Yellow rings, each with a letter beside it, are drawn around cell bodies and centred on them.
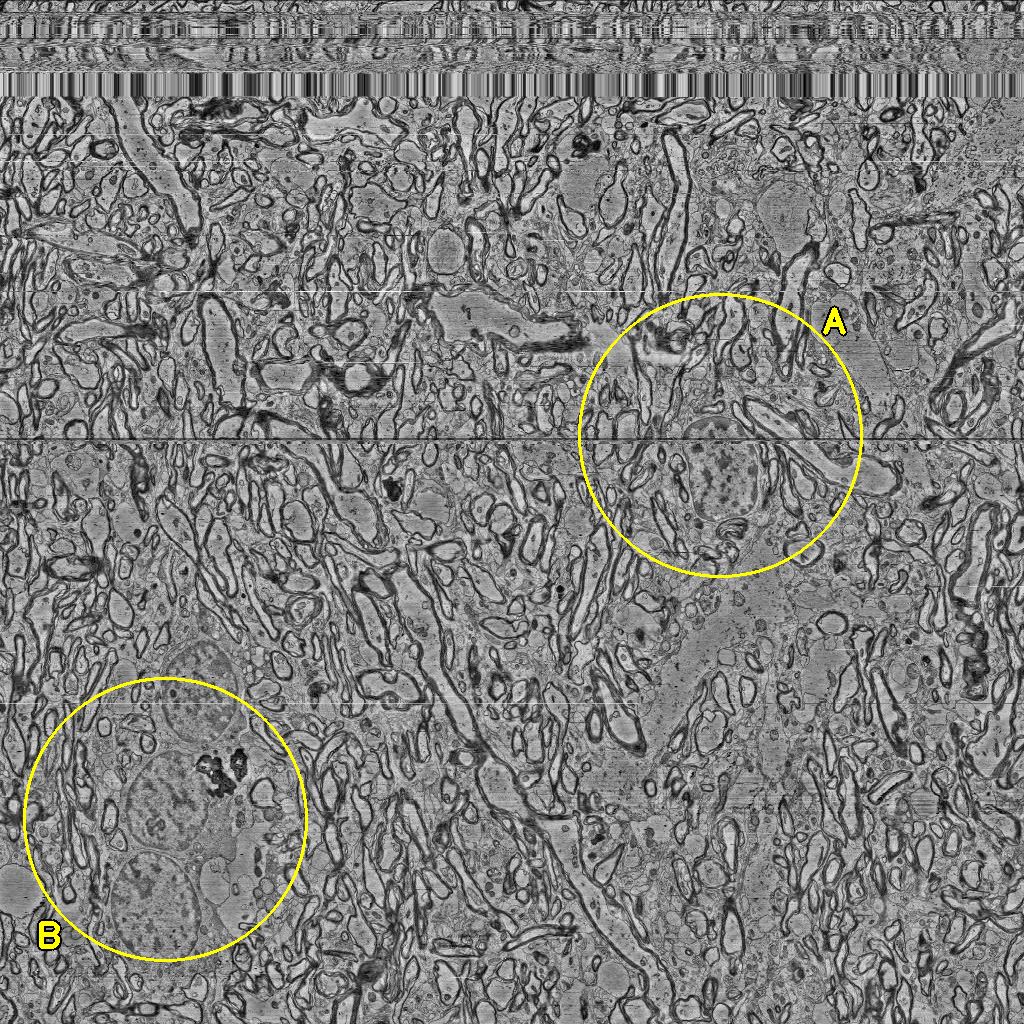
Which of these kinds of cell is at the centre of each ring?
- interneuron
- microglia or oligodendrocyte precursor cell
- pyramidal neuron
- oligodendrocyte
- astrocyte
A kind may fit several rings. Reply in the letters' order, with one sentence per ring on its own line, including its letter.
The cell in the middle of ring A is a microglial cell or oligodendrocyte precursor cell.
The cell in the middle of ring B is an oligodendrocyte.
